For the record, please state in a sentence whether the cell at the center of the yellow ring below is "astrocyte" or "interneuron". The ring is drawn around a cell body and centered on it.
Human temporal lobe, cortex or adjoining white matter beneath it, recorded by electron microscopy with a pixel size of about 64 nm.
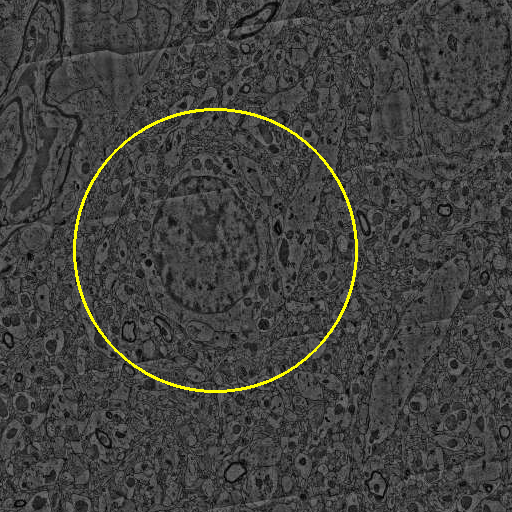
The cell at the ring's center is an interneuron.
